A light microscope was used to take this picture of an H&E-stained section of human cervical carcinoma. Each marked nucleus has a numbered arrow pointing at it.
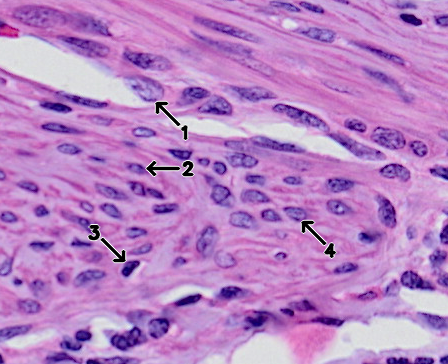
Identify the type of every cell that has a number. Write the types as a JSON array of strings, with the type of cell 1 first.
["endothelial cell", "smooth muscle cell", "lymphocyte", "smooth muscle cell"]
